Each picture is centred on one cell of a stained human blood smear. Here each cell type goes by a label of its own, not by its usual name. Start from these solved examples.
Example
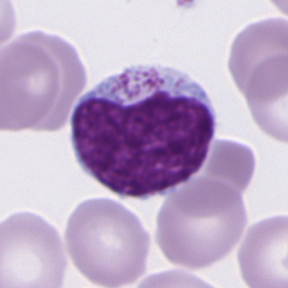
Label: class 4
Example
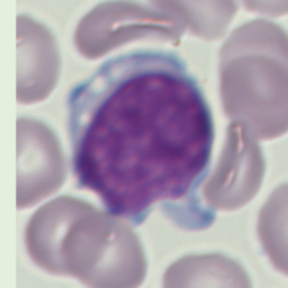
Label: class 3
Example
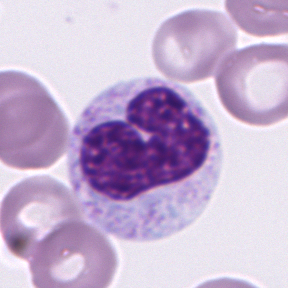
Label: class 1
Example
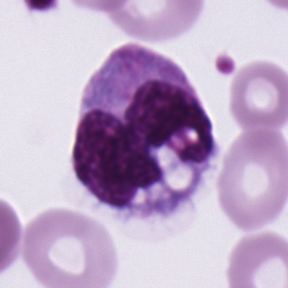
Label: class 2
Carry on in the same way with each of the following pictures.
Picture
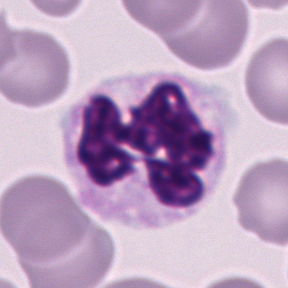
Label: class 1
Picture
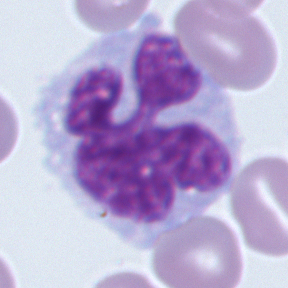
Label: class 2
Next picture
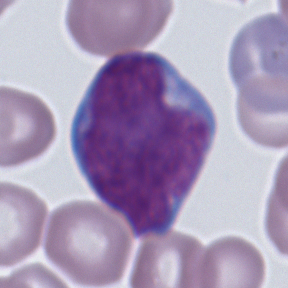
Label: class 3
